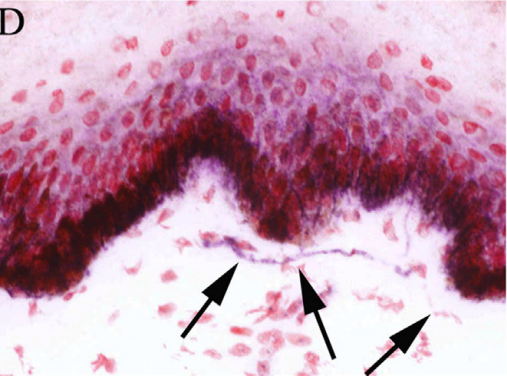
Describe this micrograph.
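Skin with a stratified epidermis whose basal keratinocytes form a dark purple-brown band along an undulating dermal–epidermal junction, while paler suprabasal layers hold red oval nuclei. Just beneath the epidermis, thin beaded purple nerve fibres run parallel to the junction through the dermis among scattered red-nucleated cells.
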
